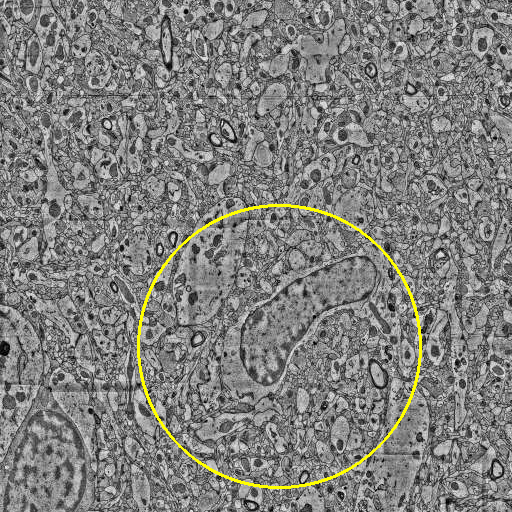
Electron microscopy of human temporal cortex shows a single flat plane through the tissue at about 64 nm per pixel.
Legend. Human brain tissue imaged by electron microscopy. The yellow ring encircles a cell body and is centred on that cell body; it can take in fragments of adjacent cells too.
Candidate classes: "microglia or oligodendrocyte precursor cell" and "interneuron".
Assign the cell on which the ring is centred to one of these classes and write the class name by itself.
microglia or oligodendrocyte precursor cell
